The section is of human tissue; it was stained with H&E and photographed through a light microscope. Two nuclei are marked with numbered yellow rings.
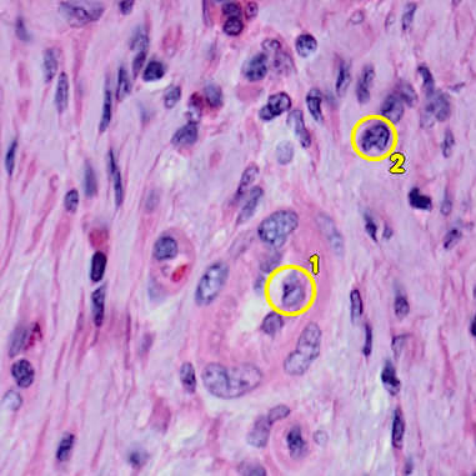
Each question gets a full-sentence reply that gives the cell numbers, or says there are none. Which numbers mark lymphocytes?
Cell 2 is the only numbered cell that is a lymphocyte.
